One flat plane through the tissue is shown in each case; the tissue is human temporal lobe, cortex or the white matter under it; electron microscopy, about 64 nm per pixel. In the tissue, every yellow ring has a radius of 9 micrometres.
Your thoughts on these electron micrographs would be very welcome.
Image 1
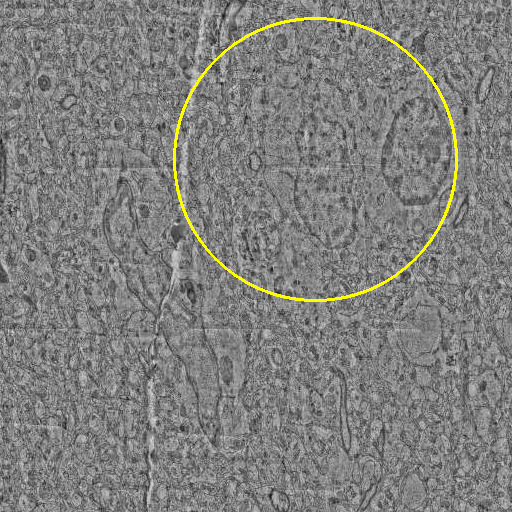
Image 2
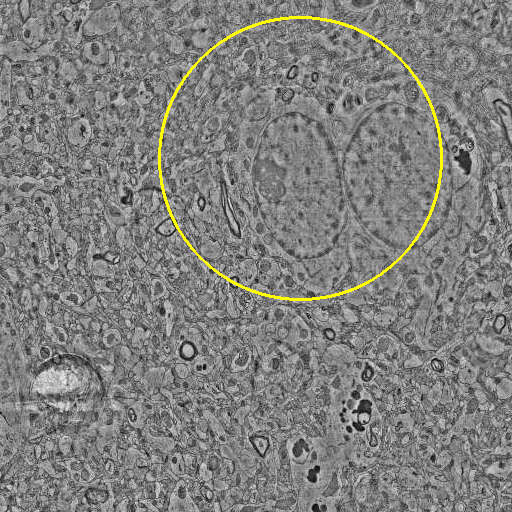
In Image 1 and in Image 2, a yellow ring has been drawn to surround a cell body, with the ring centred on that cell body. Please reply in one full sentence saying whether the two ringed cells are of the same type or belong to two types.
The ringed cells in Image 1 and Image 2 are of the same type.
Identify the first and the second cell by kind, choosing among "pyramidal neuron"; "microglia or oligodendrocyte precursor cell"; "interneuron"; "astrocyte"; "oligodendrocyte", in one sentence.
In each of the two pictures, the ringed cell is an astrocyte.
